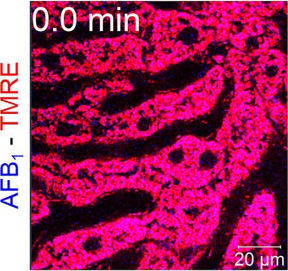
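Plates of large polygonal liver cells, hepatocytes, fill the field, their cytoplasm densely granular and bright red. Each cell holds one or two round dark nuclei that take up no red. Between the cell plates run narrow dark branching channels, the sinusoids, that separate and join the cords in a meshwork. A faint uniform blue background is scattered over the image without marking any particular structure.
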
